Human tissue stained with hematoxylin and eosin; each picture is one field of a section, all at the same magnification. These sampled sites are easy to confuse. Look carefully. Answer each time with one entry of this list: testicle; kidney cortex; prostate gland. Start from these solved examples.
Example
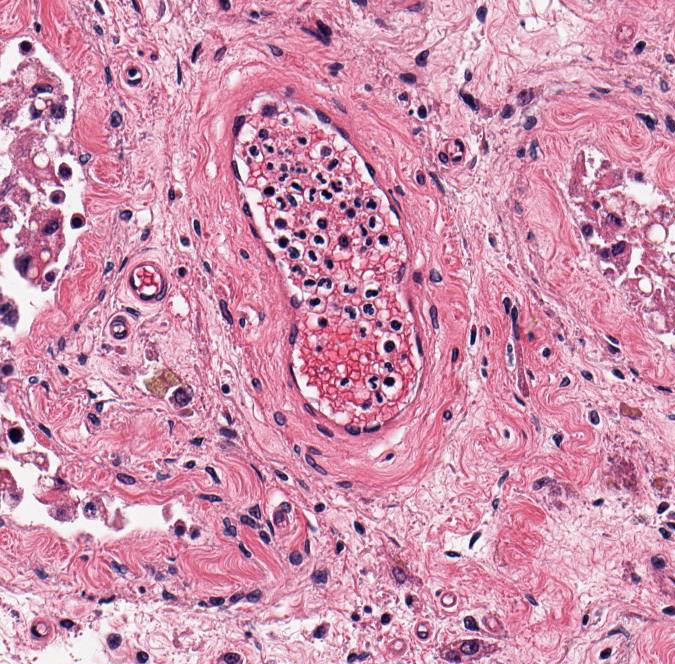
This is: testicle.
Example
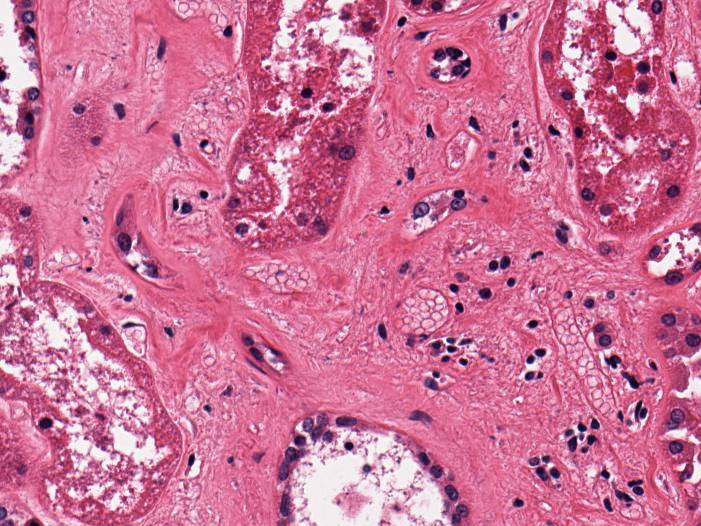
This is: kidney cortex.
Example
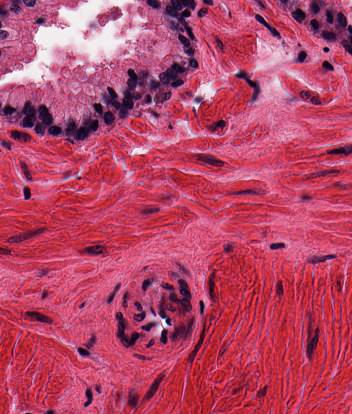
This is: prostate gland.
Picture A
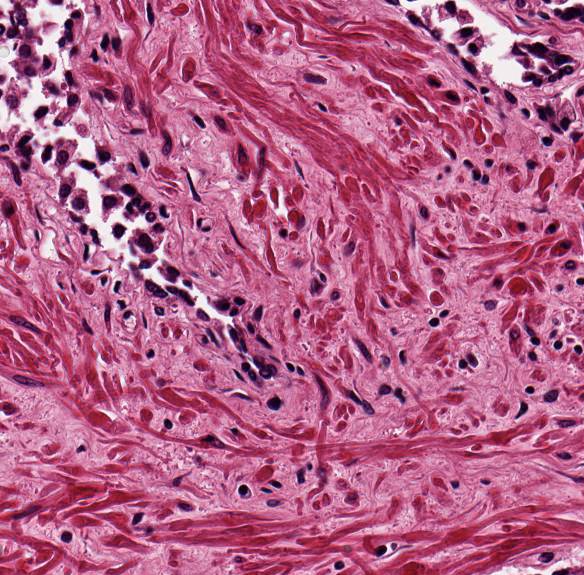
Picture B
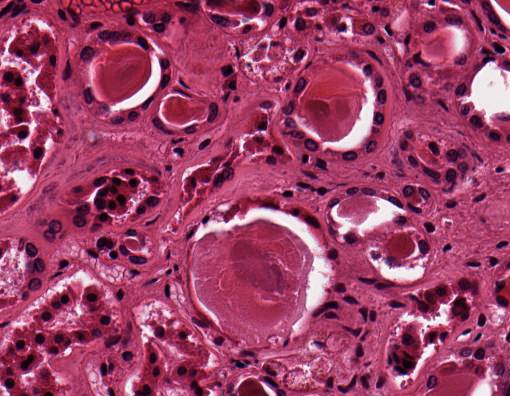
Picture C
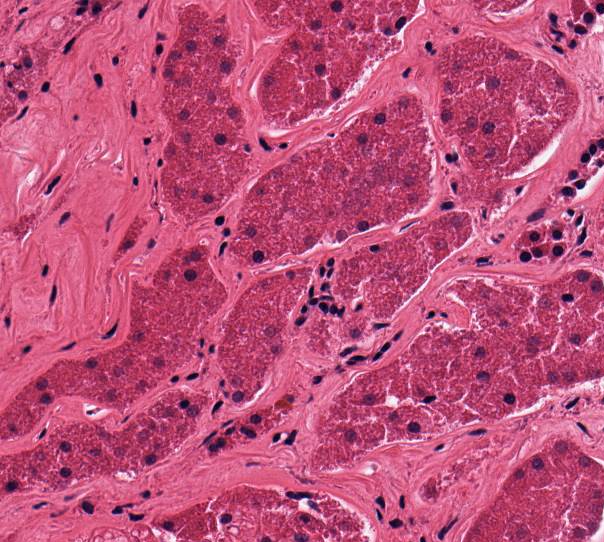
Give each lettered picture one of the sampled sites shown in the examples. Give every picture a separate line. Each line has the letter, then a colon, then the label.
A: prostate gland.
B: kidney cortex.
C: kidney cortex.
